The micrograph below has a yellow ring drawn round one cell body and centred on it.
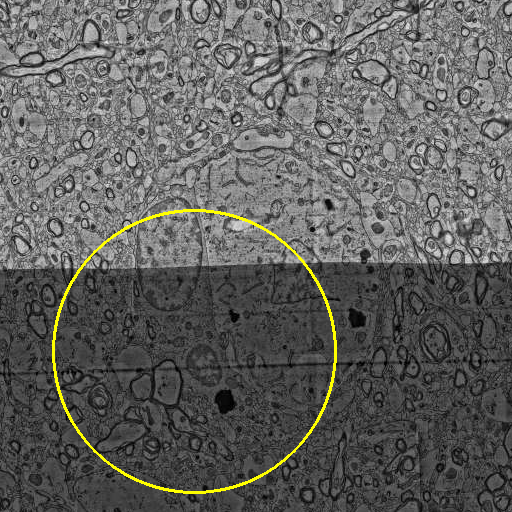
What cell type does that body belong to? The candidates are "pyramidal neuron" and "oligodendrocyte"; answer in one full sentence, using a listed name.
This is an oligodendrocyte, the cell whose body lies at the centre of the ring.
